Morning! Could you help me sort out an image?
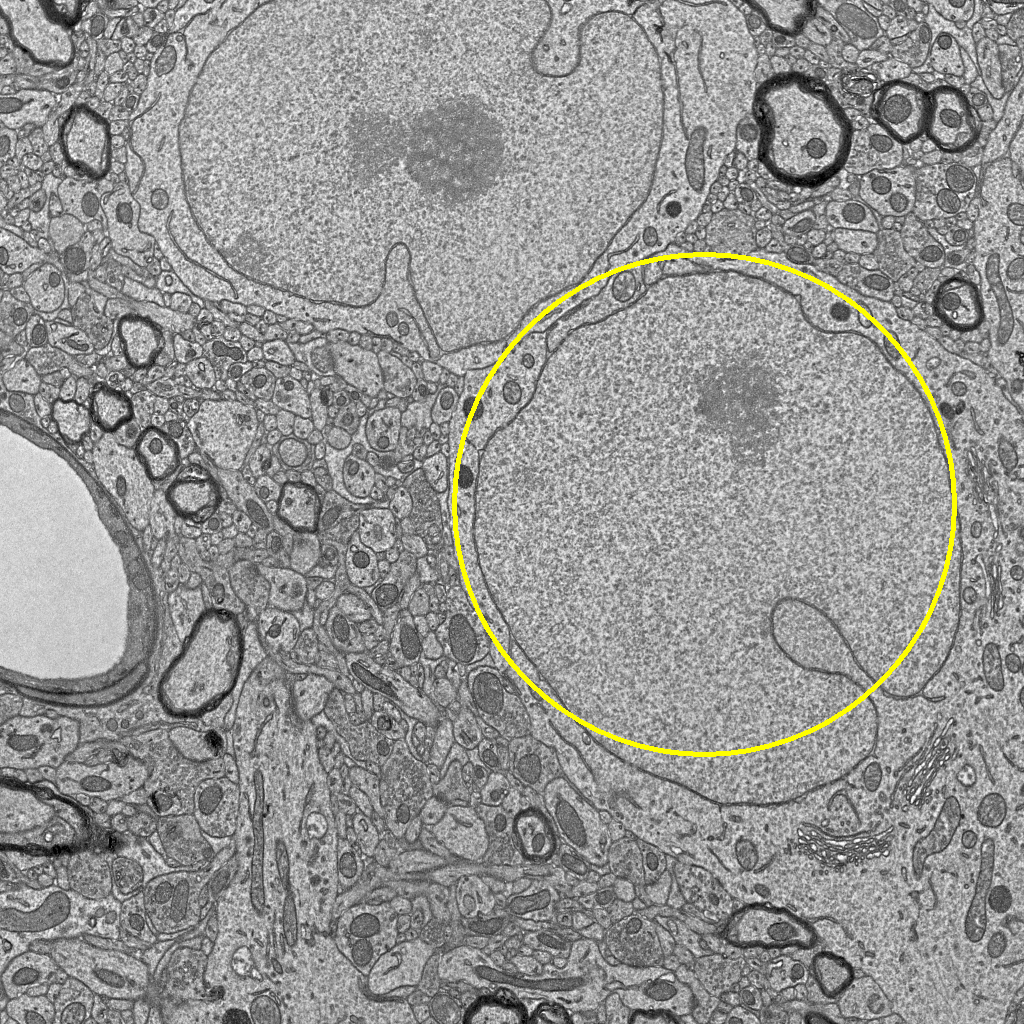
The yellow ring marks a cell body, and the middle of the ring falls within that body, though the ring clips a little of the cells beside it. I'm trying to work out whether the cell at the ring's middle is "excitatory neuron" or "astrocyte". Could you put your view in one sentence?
The cell body at the ring's middle is that of an excitatory neuron.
